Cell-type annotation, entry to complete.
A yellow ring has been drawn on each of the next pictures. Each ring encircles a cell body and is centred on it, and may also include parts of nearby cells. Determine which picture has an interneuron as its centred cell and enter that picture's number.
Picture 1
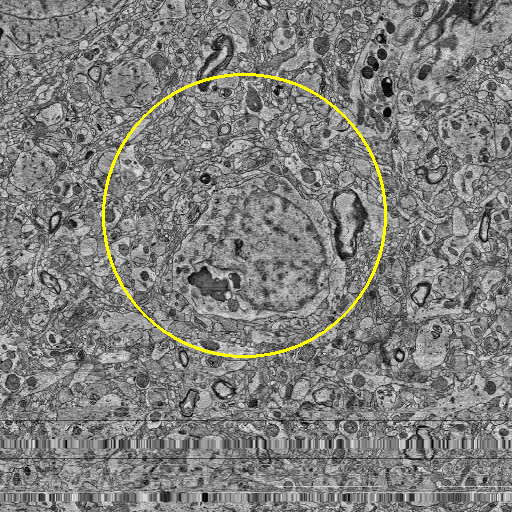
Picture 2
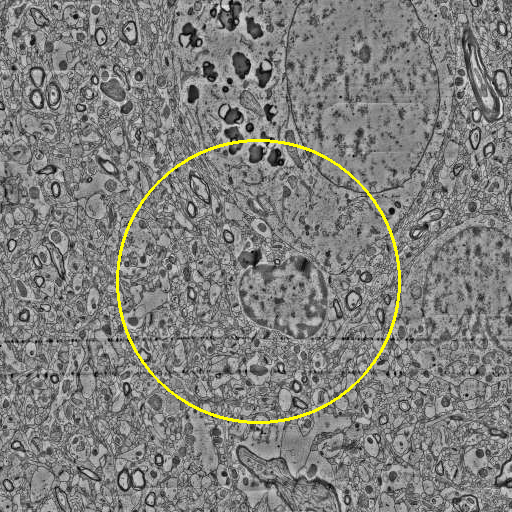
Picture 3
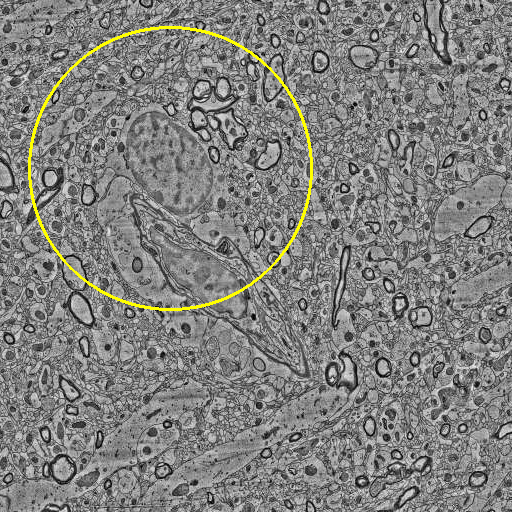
1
